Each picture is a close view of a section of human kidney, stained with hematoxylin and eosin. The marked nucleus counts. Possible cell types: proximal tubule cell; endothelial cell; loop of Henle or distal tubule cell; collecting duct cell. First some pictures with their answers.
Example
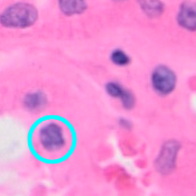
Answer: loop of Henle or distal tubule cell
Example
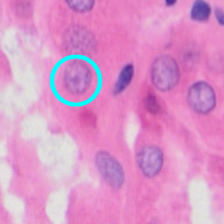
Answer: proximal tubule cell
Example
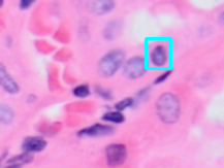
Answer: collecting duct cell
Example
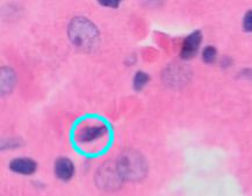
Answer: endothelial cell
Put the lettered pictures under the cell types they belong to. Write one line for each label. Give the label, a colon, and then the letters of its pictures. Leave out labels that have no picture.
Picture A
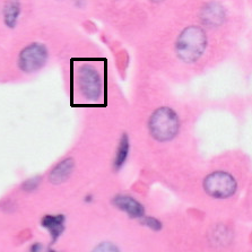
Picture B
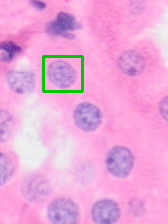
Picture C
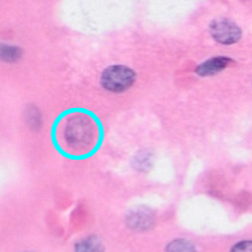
proximal tubule cell: C
loop of Henle or distal tubule cell: A, B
